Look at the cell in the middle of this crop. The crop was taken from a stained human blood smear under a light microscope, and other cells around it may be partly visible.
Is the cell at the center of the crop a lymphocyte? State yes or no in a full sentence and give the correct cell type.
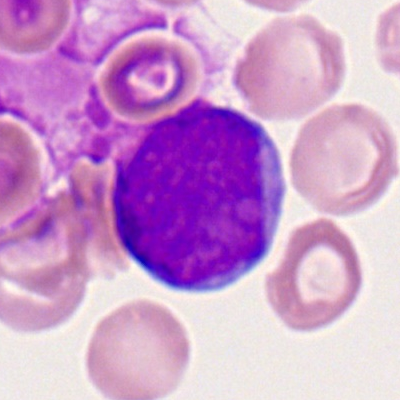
No, the central cell is properly termed a myeloblast, not a lymphocyte.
